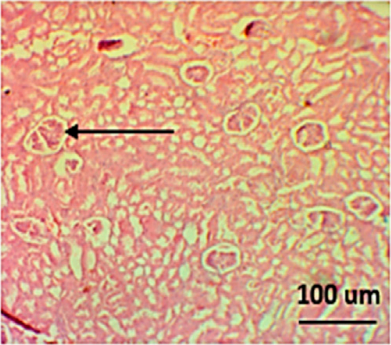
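This field of kidney cortex shows many round glomeruli spread evenly among the tubules. Each glomerulus is a rounded tuft ringed by a narrow clear space, and the surrounding tubules are cut across and lengthwise as pink profiles with pale lumens.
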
